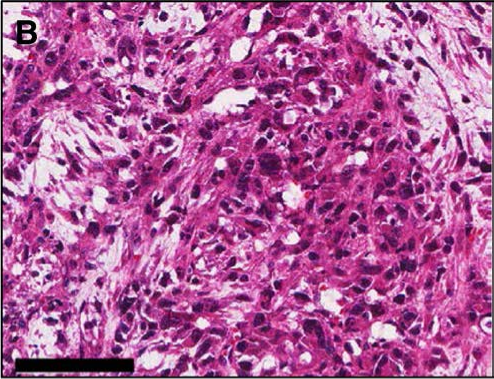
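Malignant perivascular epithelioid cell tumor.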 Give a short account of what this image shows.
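Densely cellular tumour tissue with sheets of crowded cells showing marked cytologic atypia. Nuclei are dark purple and vary widely in size and shape, many enlarged and irregular in outline. Cytoplasm is pink and moderately abundant, with cell borders poorly defined. Scattered small clear vacuoles lie between the cells. Toward the edges the cells become more spindled and lie in a looser, paler stroma.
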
